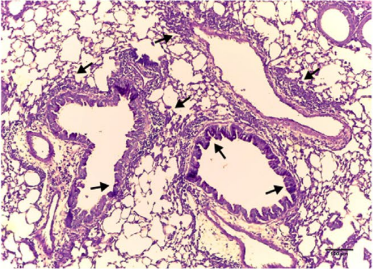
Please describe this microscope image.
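This lung section shows two large airways and neighbouring vessels set in alveolar tissue. The airway epithelium is folded into ridges and stains deeply purple-magenta along its surface, in keeping with abundant goblet cells. Collars of densely packed dark nuclei surround the airways and vessels, marking inflammatory infiltration in the surrounding connective tissue. Beyond these collars the alveolar parenchyma is made of thin, pale walls around open air spaces.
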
